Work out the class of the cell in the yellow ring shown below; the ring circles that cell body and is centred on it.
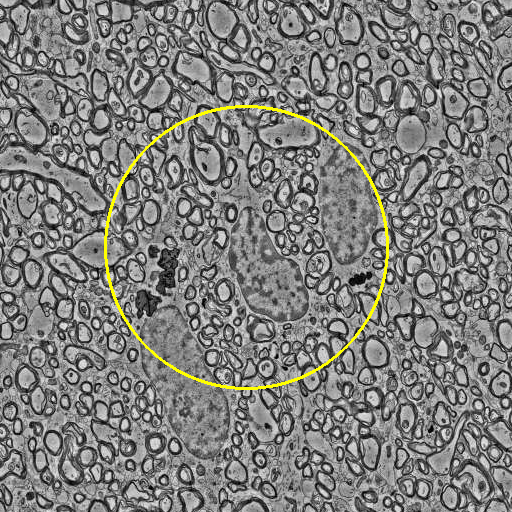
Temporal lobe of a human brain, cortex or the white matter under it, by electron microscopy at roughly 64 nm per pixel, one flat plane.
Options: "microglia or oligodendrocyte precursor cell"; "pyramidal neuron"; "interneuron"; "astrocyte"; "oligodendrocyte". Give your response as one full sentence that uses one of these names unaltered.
The body ringed in yellow, right at the ring's centre, is that of a microglial cell or oligodendrocyte precursor cell.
